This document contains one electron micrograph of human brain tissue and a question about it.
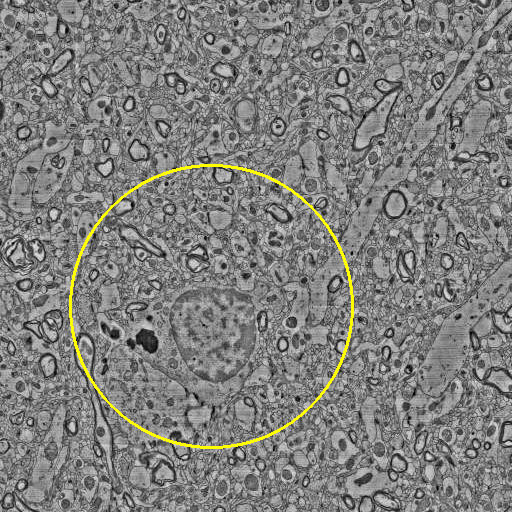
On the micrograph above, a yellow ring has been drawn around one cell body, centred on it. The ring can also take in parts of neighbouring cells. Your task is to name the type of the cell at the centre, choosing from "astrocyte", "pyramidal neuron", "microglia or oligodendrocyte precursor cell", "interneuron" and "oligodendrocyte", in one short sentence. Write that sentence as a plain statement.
Here the ring is centred on an oligodendrocyte.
